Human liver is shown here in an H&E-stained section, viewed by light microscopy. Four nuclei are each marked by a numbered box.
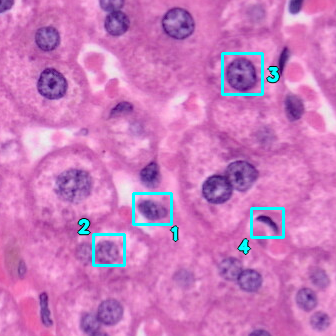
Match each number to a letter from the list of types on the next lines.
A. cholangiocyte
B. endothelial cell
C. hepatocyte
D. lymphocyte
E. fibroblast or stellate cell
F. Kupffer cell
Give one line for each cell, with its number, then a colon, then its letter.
1: F
2: C
3: C
4: B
